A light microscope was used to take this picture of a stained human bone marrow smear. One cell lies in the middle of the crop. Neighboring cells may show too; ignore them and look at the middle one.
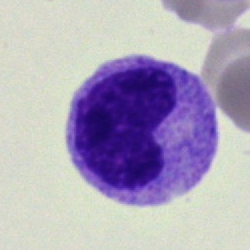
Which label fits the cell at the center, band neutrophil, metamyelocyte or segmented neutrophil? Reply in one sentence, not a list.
For this crop, the cell in the middle is a metamyelocyte.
